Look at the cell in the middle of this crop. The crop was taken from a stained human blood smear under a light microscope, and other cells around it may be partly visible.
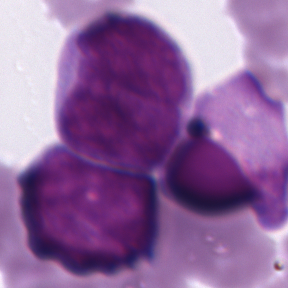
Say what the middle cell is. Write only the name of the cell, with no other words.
myeloblast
